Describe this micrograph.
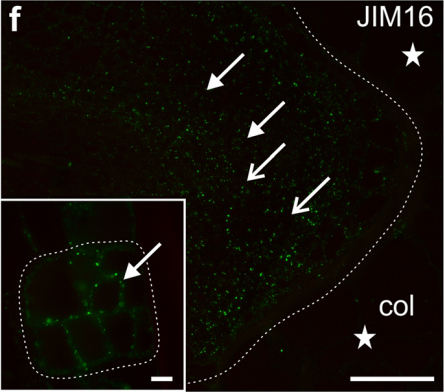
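A rounded, dome-shaped mass of small cells is marked off by a dotted line from the surrounding tissue. Fine green dots are scattered throughout the cells of the dome, while the tissue outside the line is dark. An inset shows a small group of cells outlined by a dotted line with green dots along their boundaries.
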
